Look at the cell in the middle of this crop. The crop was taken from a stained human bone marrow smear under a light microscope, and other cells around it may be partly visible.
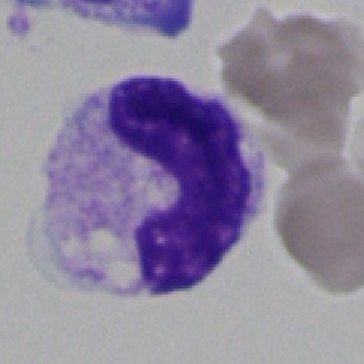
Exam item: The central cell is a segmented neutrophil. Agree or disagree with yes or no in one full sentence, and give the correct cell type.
No, the cell in the middle is a band neutrophil, not a segmented neutrophil.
